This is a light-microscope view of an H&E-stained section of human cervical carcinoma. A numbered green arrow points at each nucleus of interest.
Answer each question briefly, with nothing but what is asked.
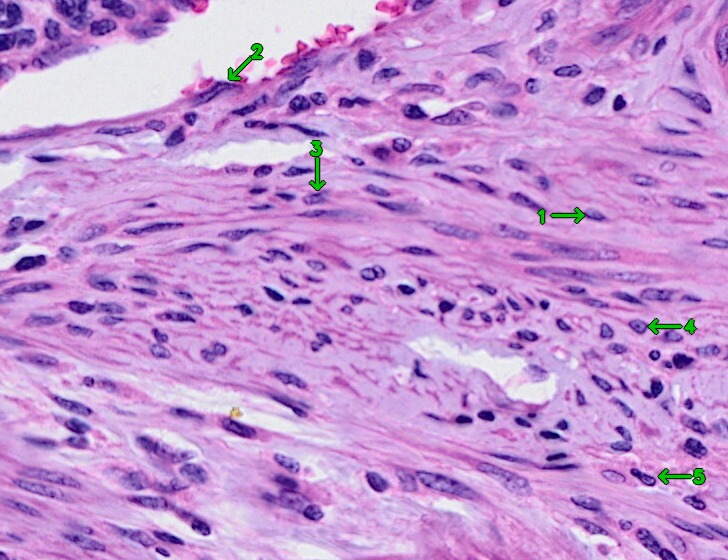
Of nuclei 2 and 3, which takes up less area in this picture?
3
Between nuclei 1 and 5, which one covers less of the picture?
1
